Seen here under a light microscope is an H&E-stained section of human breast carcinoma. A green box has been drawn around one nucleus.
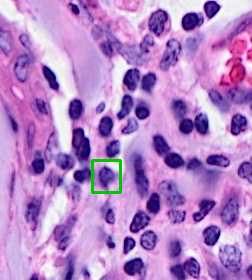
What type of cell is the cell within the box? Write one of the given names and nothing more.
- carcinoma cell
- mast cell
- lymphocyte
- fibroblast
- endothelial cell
lymphocyte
